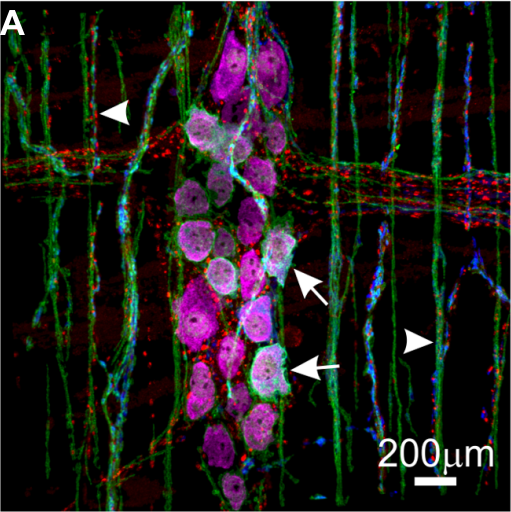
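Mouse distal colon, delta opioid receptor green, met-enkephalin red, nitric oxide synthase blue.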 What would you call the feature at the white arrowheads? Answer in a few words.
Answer: Circular muscle nerve fibers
